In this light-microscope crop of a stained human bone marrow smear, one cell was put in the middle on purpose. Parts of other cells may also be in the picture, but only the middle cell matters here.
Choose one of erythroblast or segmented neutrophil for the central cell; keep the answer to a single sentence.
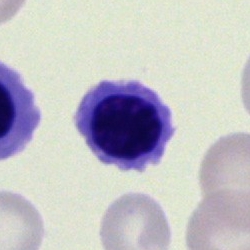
In the middle of this smear crop is an erythroblast.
